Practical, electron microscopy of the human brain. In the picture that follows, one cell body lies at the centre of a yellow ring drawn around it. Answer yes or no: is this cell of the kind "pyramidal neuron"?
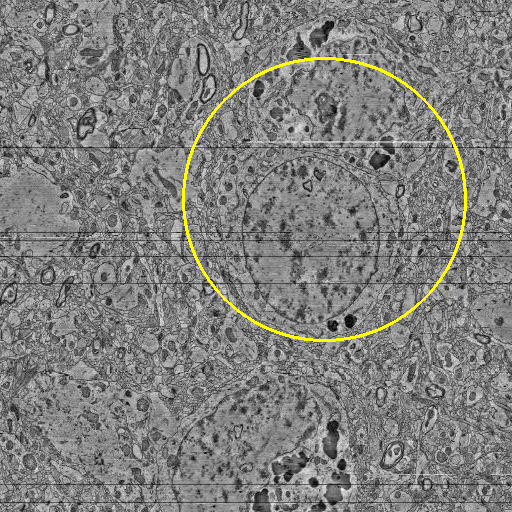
yes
